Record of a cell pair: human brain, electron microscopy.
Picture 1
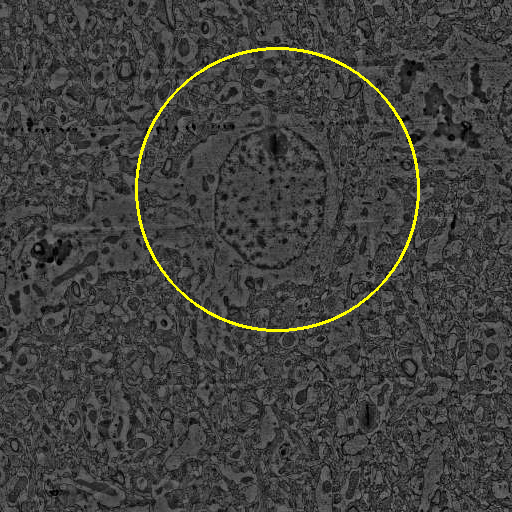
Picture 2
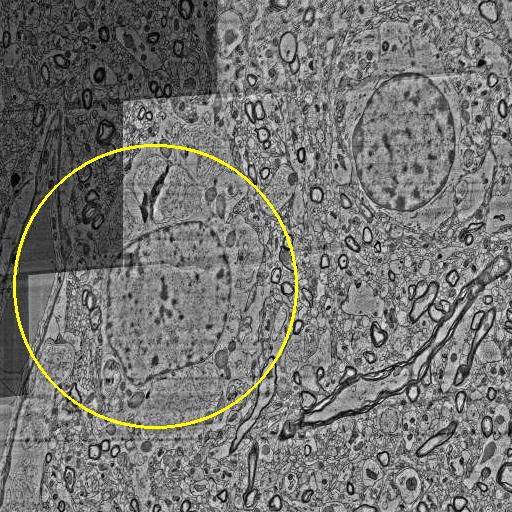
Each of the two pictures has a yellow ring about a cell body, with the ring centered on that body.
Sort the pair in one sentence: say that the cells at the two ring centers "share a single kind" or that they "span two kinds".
The cells centered in the rings of Pictures 1 and 2 share a single kind.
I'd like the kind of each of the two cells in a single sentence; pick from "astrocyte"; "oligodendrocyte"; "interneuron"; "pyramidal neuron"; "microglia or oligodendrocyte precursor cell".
In the first picture and in the second, the ring is centred on an astrocyte.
